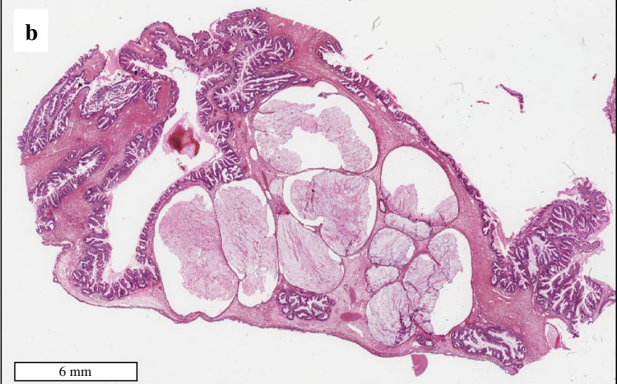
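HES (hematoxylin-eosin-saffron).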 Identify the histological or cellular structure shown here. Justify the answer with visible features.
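Numerous cysts. Many rounded spaces of varying size fill the center of the section. The spaces are filled with pale pink, wispy material. Folded epithelium lines larger spaces at the edges.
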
